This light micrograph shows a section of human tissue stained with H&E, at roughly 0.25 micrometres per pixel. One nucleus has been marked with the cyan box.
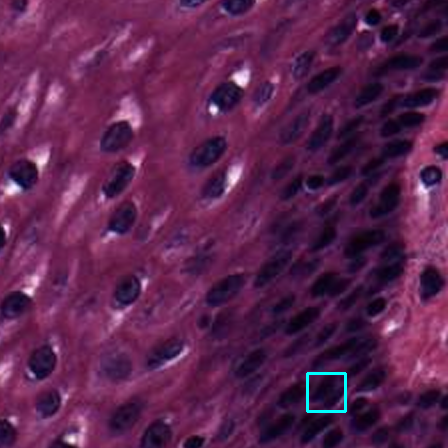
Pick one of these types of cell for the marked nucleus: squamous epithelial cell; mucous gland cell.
squamous epithelial cell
